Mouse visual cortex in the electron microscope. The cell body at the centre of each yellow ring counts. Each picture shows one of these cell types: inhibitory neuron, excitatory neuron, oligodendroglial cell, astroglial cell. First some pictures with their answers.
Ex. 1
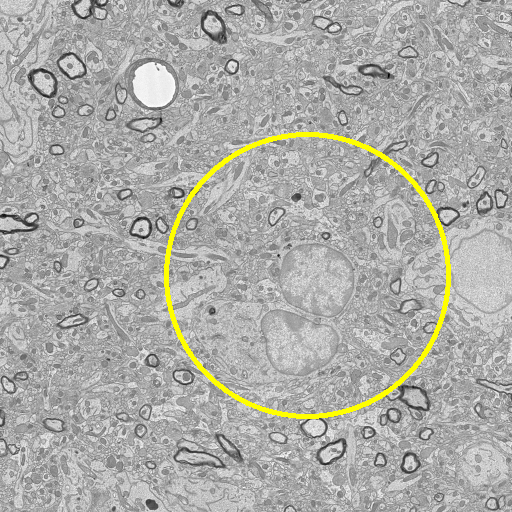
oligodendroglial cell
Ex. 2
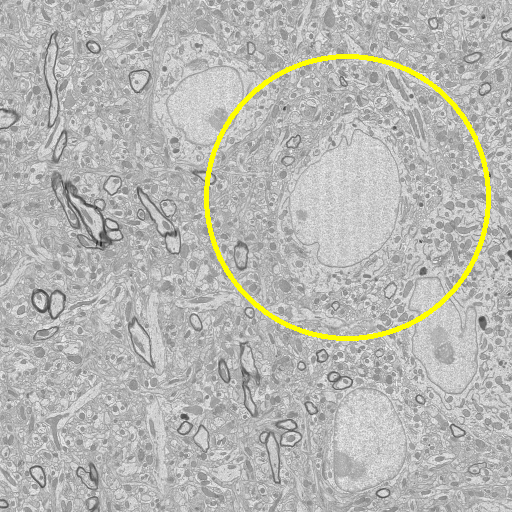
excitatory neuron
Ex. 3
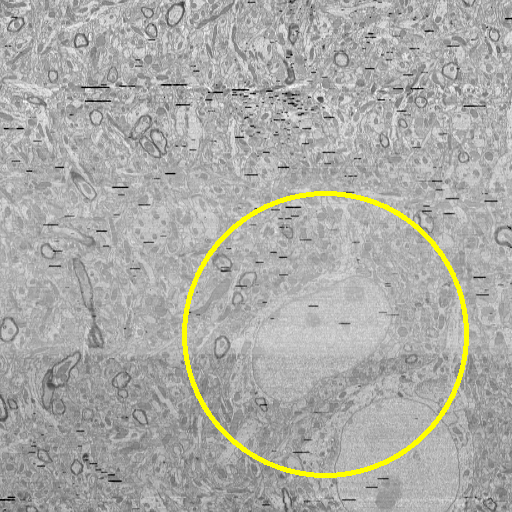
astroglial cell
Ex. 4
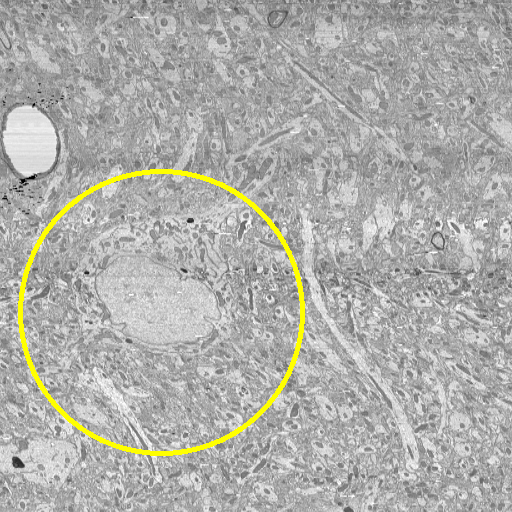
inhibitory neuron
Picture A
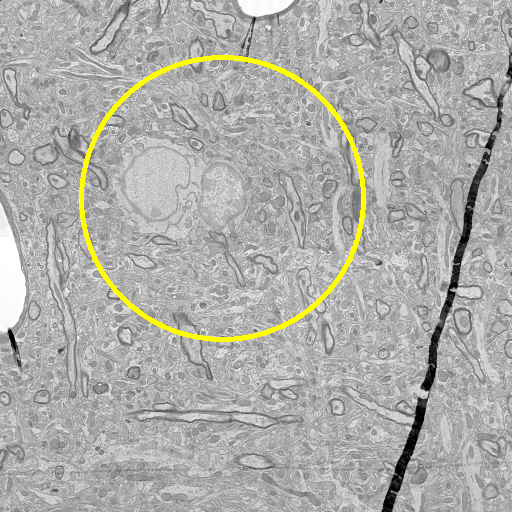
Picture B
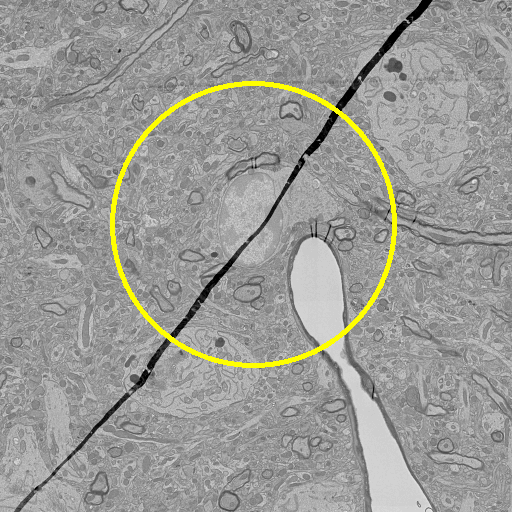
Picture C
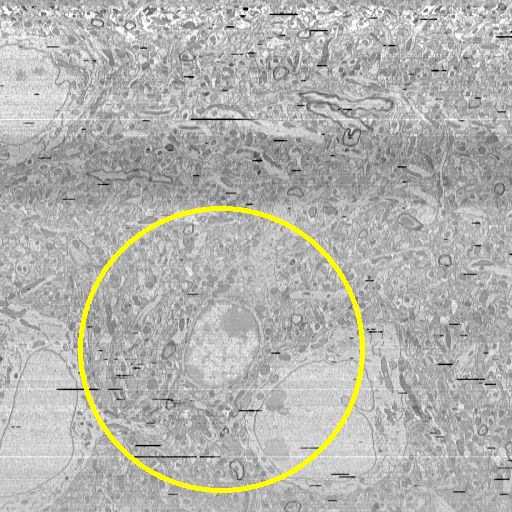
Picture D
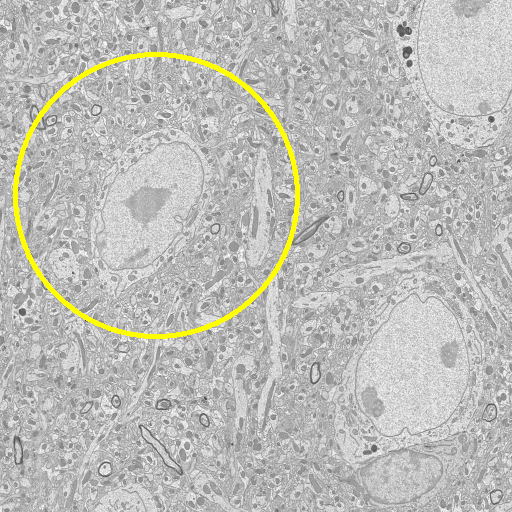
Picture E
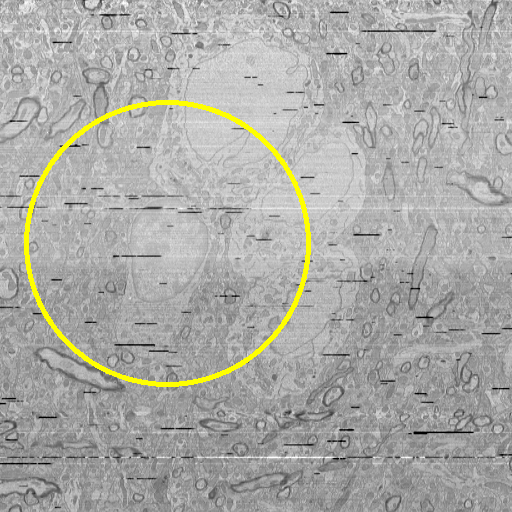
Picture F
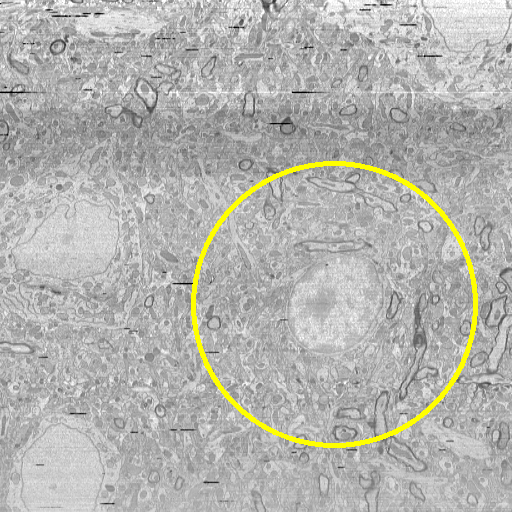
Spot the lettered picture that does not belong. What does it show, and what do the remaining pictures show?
Picture D: inhibitory neuron. All others: oligodendroglial cell.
